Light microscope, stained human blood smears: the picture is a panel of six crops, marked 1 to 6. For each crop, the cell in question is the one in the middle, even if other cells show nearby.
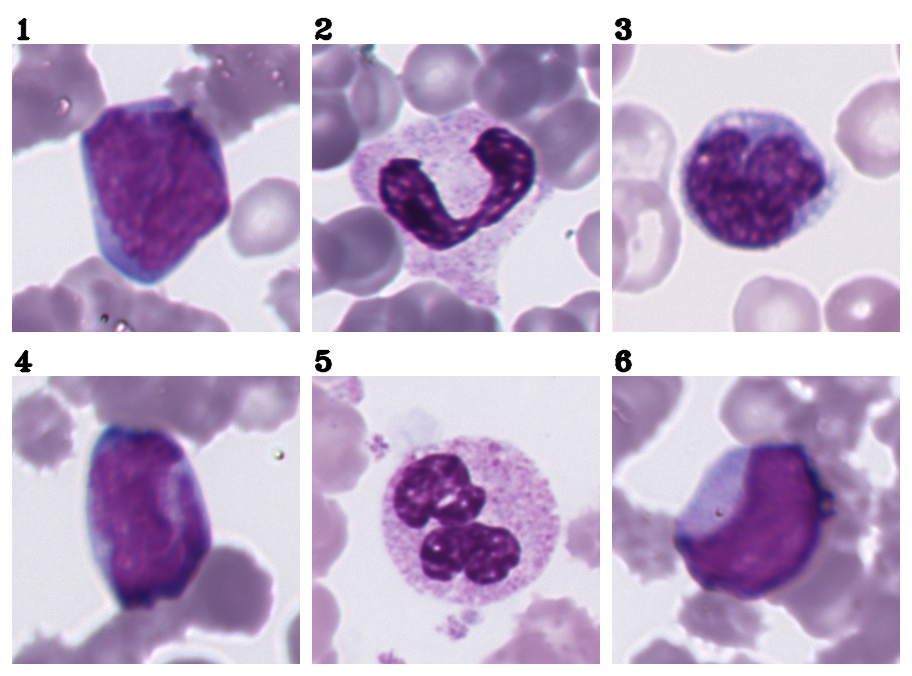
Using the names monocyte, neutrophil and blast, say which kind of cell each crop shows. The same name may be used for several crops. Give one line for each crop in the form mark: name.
1: blast
2: neutrophil
3: monocyte
4: blast
5: neutrophil
6: blast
